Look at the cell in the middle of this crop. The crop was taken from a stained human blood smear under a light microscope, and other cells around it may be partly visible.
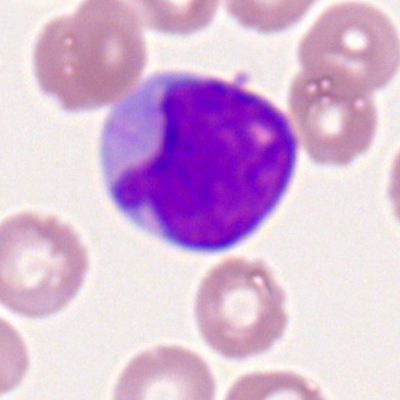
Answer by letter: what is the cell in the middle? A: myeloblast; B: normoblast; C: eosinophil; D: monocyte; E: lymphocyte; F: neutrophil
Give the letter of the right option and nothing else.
A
